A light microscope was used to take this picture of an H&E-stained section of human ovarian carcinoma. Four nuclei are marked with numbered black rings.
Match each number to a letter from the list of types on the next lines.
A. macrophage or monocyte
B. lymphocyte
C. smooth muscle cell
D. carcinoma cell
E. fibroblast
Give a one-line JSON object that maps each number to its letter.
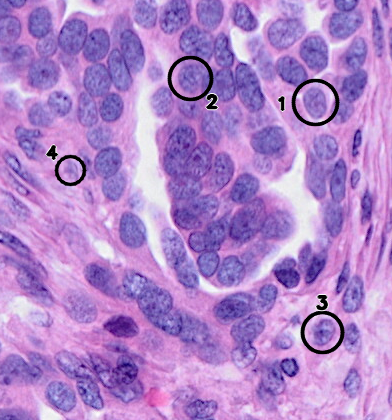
{"1": "D", "2": "D", "3": "E", "4": "E"}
